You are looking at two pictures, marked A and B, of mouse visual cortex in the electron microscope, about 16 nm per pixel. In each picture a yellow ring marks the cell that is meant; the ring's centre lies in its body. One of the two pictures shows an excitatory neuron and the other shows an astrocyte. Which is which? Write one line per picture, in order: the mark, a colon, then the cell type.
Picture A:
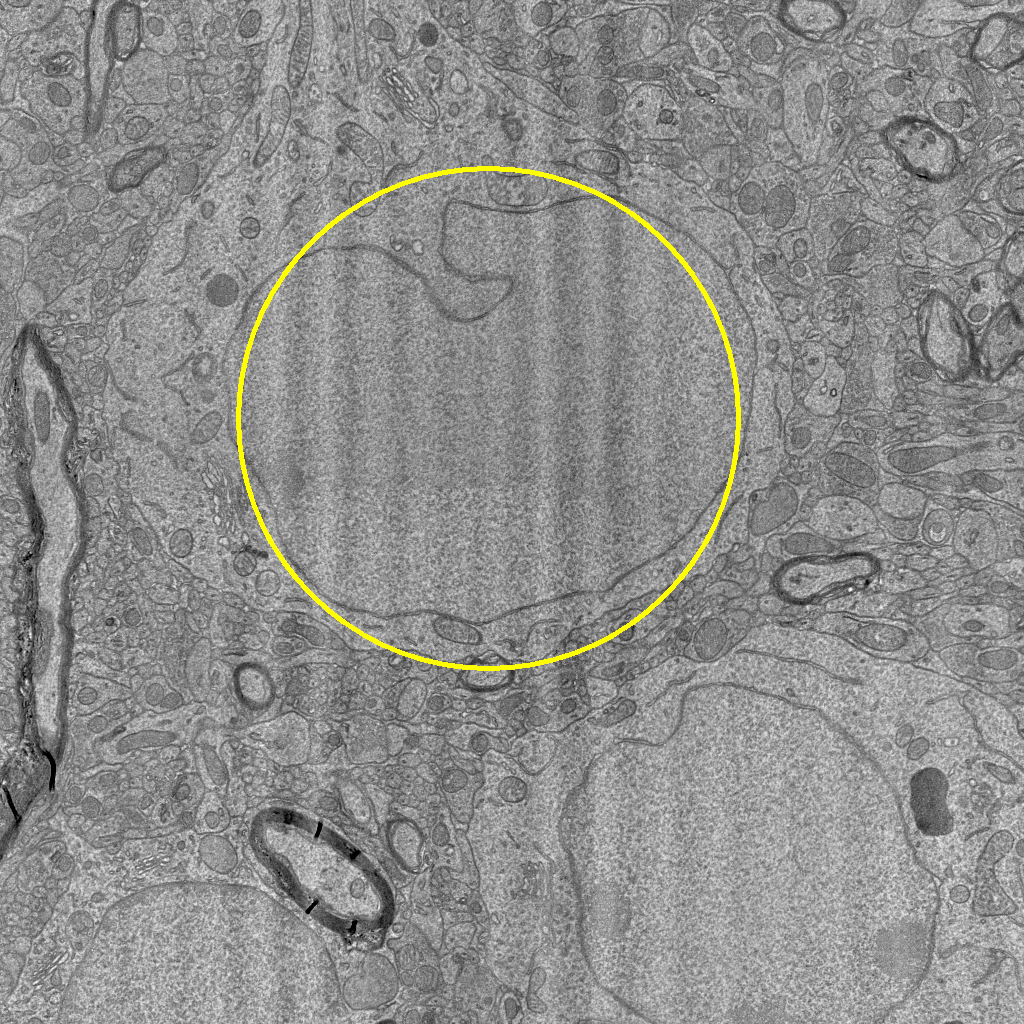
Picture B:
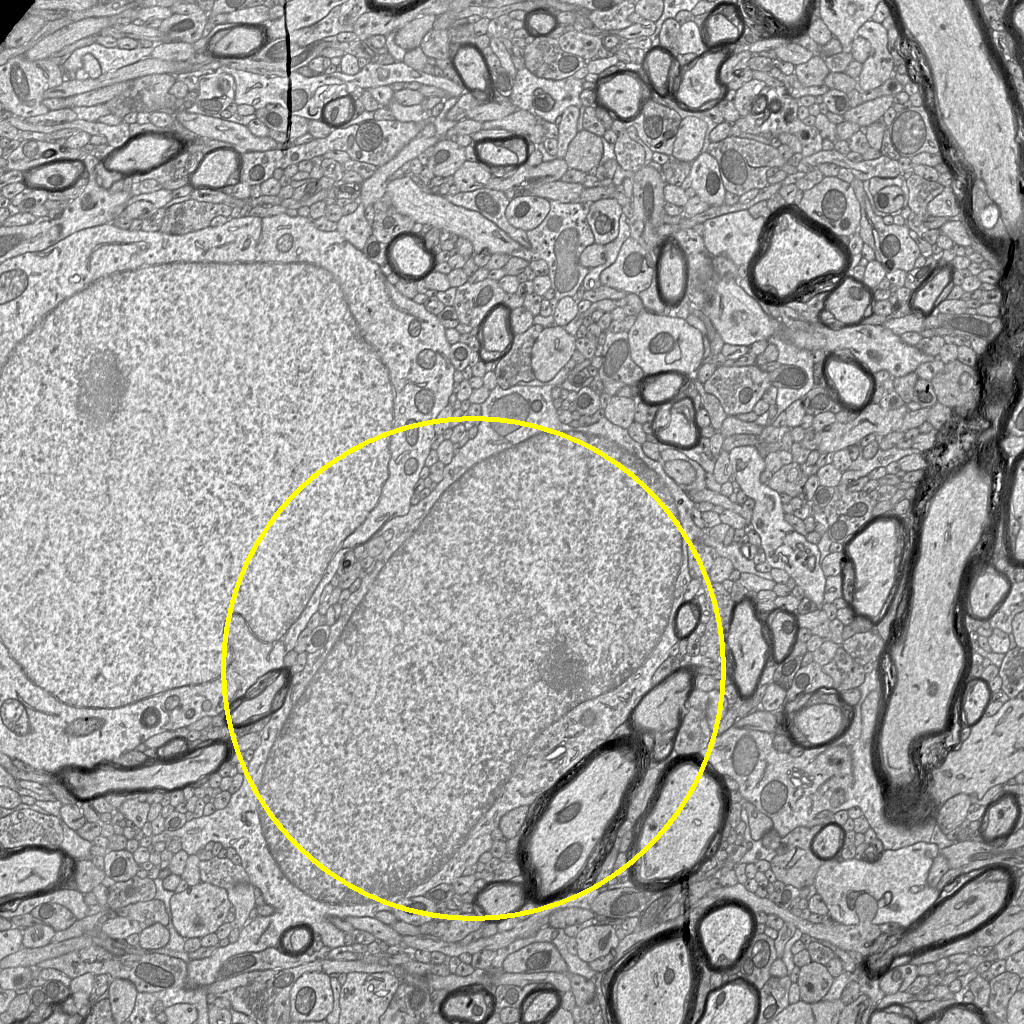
A: excitatory neuron
B: astrocyte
